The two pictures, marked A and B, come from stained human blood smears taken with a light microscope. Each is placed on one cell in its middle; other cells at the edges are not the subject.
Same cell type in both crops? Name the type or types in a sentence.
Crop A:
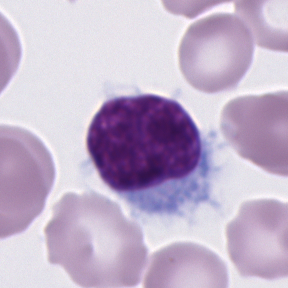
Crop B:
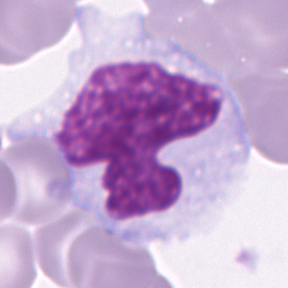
No, at the centre of crop A is a hairy cell, and at the centre of crop B is a monocyte.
